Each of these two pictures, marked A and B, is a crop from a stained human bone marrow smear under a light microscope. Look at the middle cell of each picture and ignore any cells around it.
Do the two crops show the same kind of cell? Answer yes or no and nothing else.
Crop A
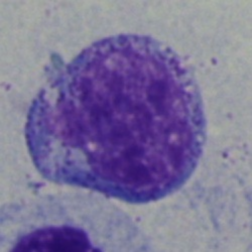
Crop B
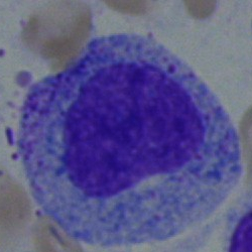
yes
